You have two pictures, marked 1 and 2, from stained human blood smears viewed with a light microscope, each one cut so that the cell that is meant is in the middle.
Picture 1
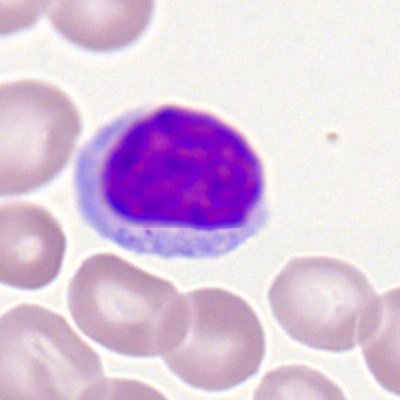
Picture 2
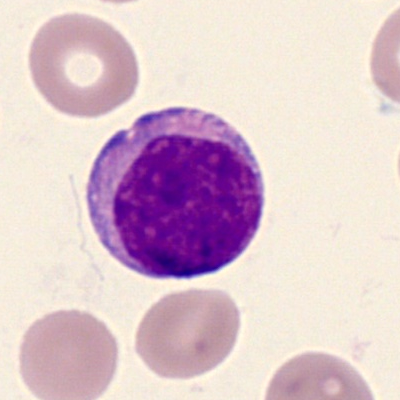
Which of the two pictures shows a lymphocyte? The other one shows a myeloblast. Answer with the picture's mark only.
1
